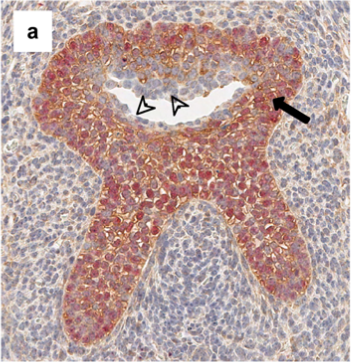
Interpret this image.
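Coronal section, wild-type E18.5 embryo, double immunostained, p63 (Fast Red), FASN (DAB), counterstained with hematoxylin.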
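Urogenital sinus epithelium with solid epithelial buds extending into the surrounding mesenchyme. The epithelium forms a thick multilayered band around a narrow slit-like lumen and sends out several solid finger-like cords. Most epithelial cells show red nuclei and brown cytoplasm with darker brown outlines at the cell borders. The cells lining the lumen are paler, with blue nuclei and little red or brown staining. The surrounding mesenchyme consists of densely packed cells with small blue nuclei and no red nuclear stain.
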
